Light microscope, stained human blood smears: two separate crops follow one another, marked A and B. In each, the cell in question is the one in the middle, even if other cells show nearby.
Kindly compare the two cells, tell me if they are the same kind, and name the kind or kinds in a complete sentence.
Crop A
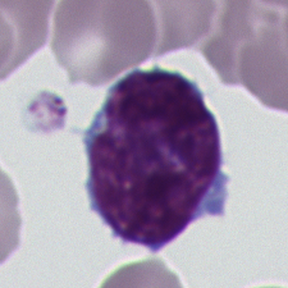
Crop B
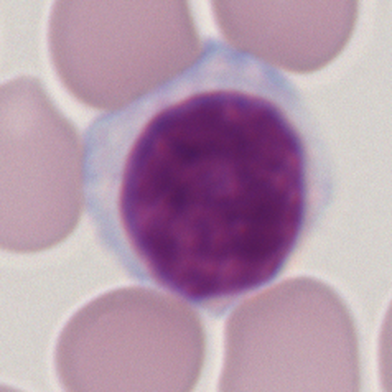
Yes, both crops show typical lymphocytes as the central cells.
